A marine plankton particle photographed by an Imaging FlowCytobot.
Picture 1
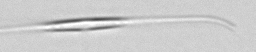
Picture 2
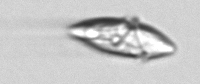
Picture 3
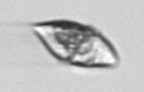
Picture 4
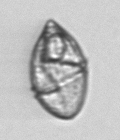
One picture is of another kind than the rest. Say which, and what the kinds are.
Picture 1 shows Cylindrotheca; the rest show Gyrodinium.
